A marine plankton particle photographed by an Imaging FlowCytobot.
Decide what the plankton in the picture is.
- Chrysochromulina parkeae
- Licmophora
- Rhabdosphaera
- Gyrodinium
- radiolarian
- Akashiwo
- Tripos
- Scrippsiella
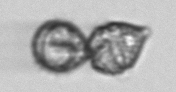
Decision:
Scrippsiella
